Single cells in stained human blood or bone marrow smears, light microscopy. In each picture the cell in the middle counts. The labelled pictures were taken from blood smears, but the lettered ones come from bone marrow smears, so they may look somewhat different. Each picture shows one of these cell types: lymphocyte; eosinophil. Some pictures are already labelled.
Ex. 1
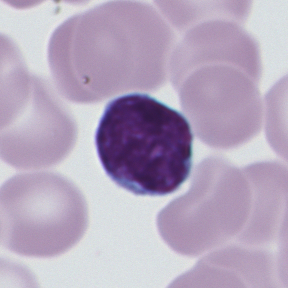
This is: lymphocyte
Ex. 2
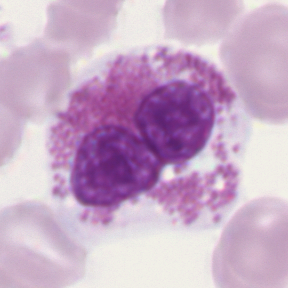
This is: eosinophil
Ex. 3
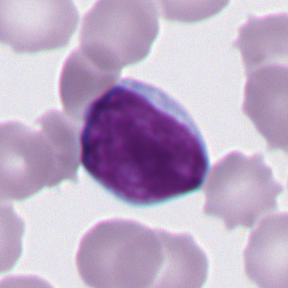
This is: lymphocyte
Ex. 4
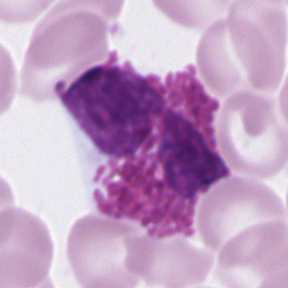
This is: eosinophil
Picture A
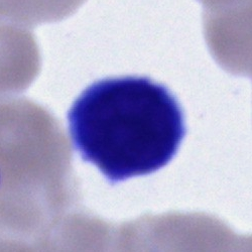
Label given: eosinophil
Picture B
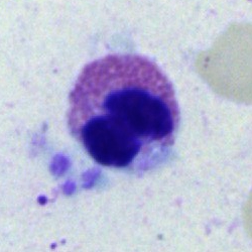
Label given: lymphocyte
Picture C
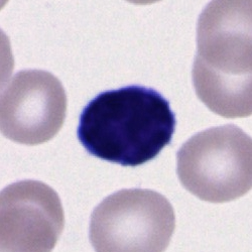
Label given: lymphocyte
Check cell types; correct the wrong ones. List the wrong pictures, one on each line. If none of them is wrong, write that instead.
A: change eosinophil to lymphocyte
B: change lymphocyte to eosinophil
